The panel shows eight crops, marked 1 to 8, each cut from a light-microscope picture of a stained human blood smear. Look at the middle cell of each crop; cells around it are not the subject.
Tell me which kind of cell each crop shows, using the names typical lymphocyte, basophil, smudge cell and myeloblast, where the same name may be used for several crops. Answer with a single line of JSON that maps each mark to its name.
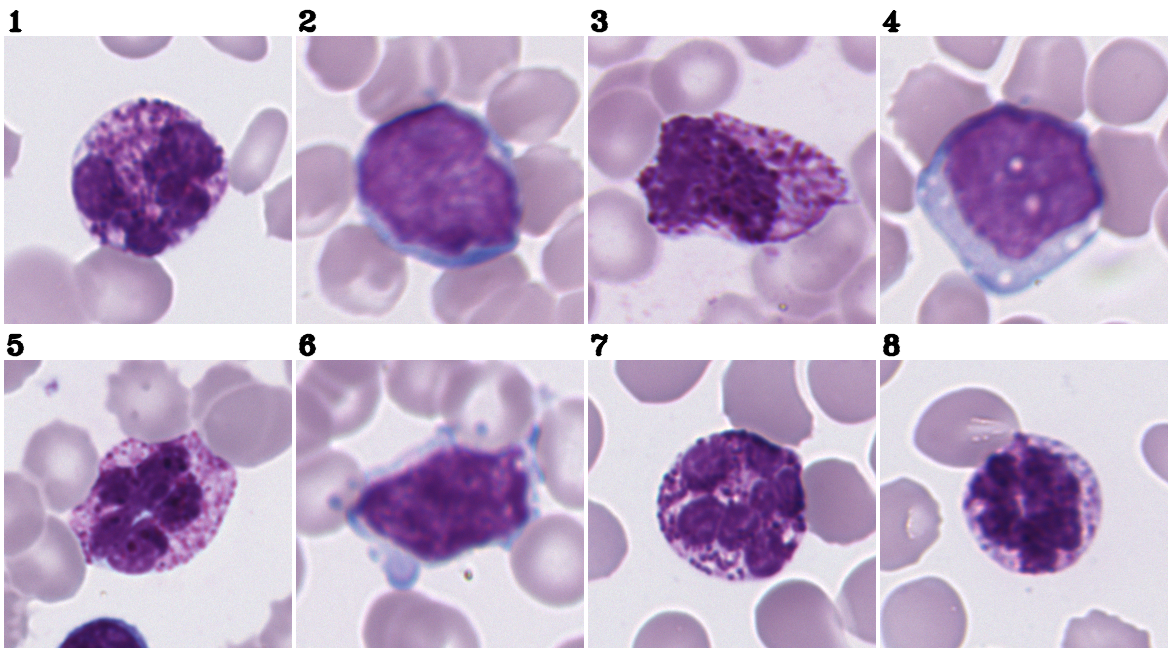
{"1": "basophil", "2": "myeloblast", "3": "basophil", "4": "myeloblast", "5": "basophil", "6": "typical lymphocyte", "7": "basophil", "8": "basophil"}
